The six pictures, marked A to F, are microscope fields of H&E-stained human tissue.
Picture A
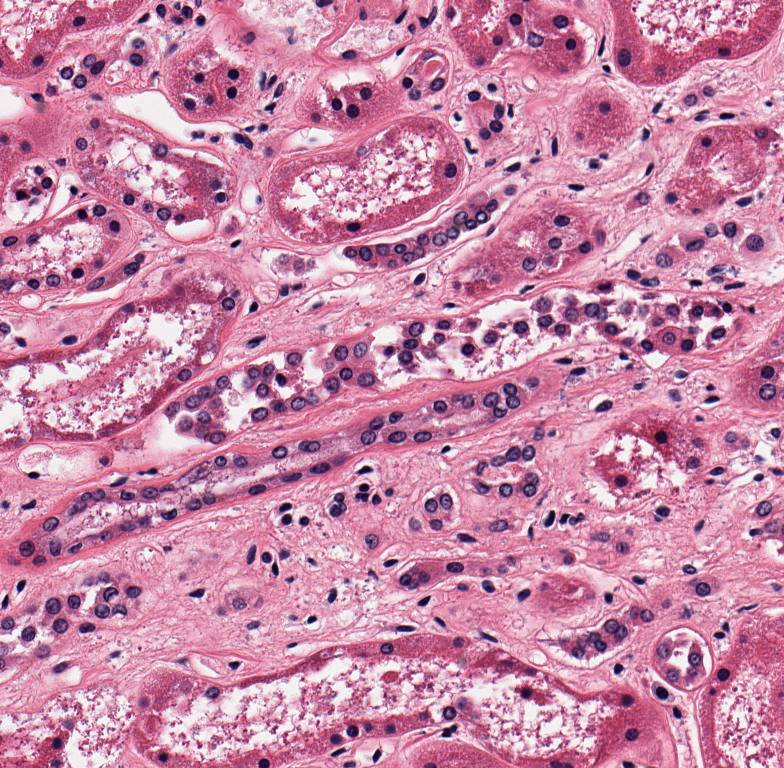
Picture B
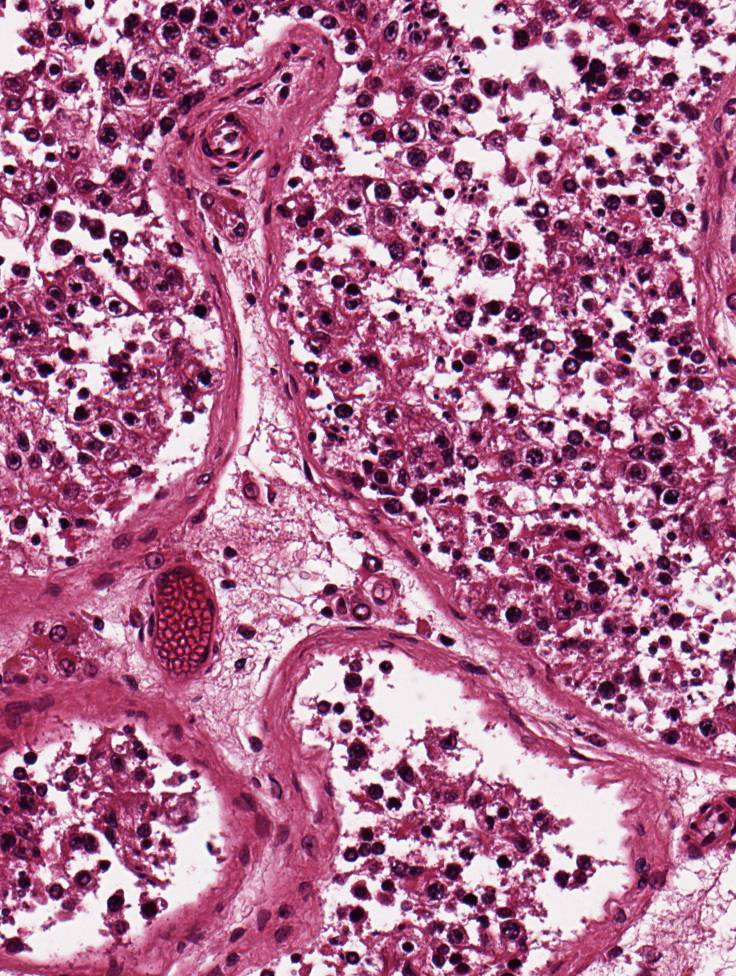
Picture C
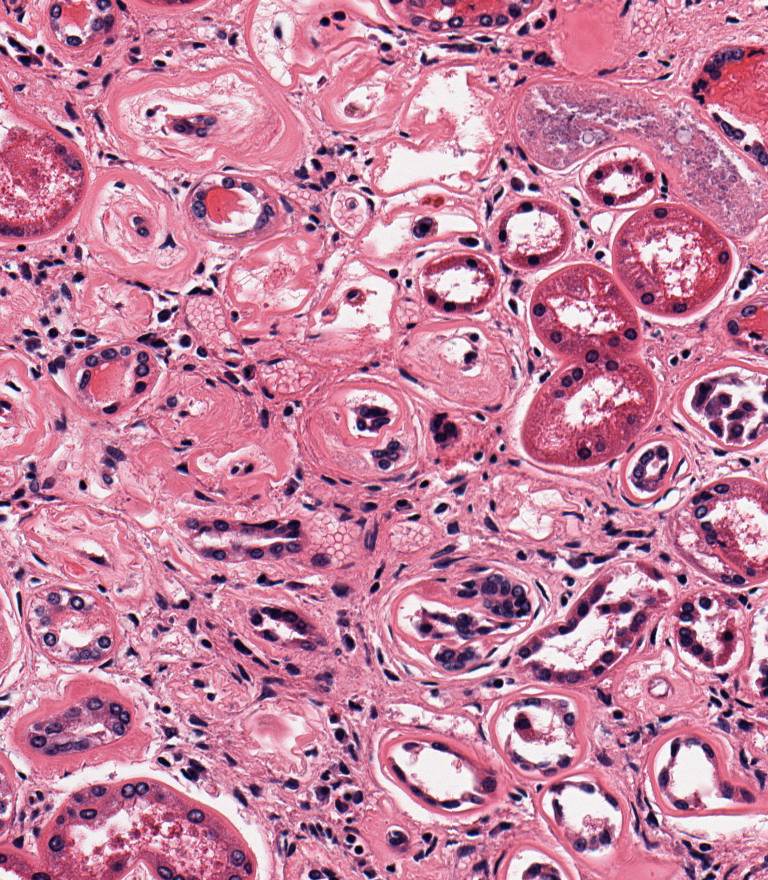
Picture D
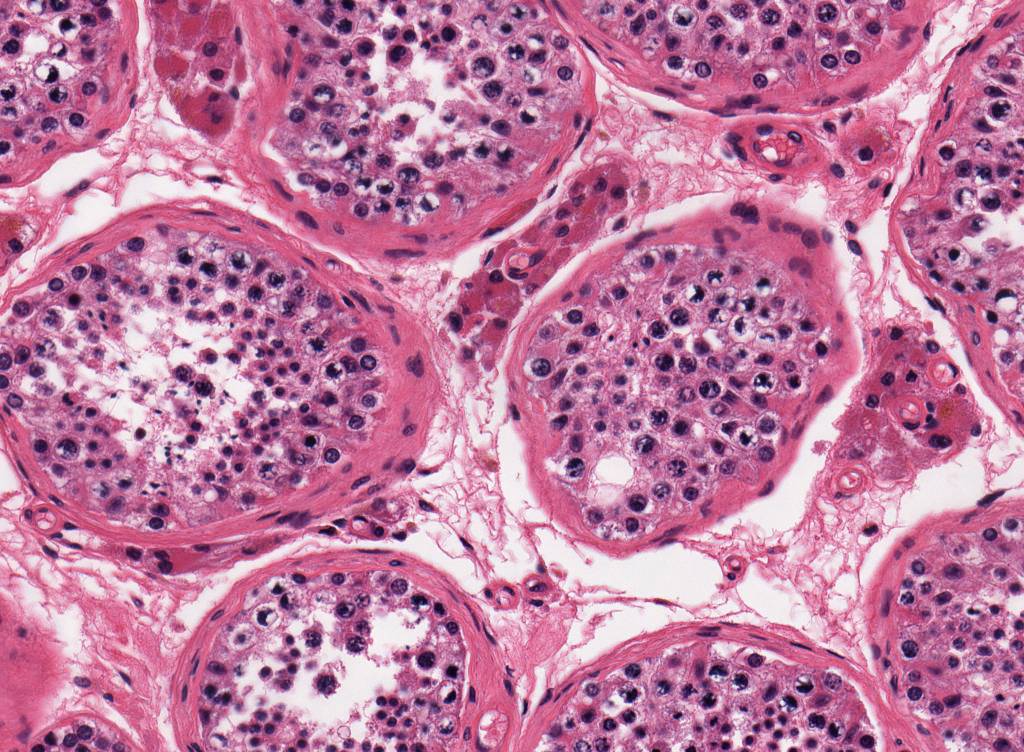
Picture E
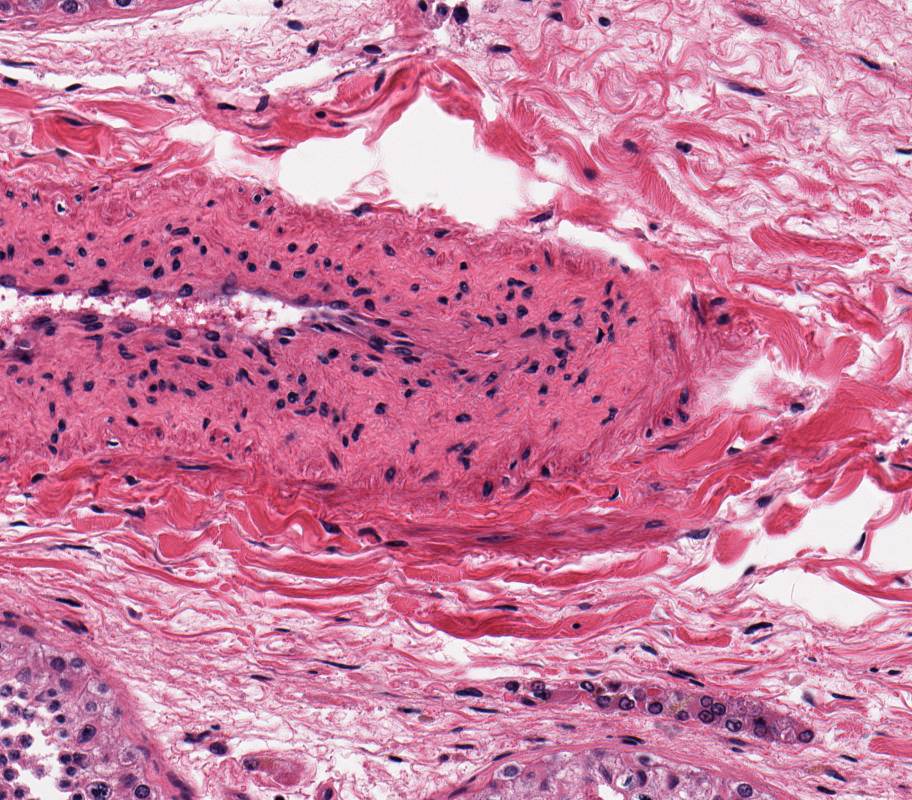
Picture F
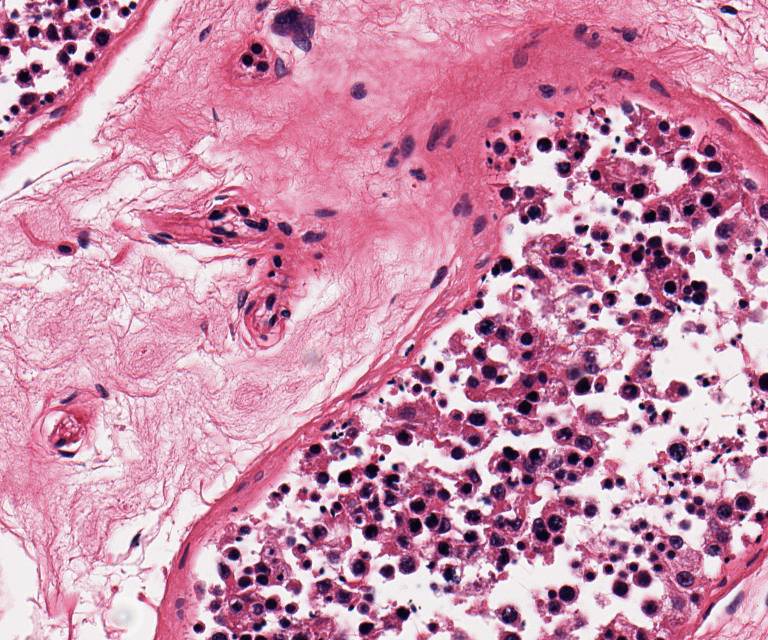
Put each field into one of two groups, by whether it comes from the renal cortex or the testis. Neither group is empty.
A: renal cortex
B: testis
C: renal cortex
D: testis
E: testis
F: testis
